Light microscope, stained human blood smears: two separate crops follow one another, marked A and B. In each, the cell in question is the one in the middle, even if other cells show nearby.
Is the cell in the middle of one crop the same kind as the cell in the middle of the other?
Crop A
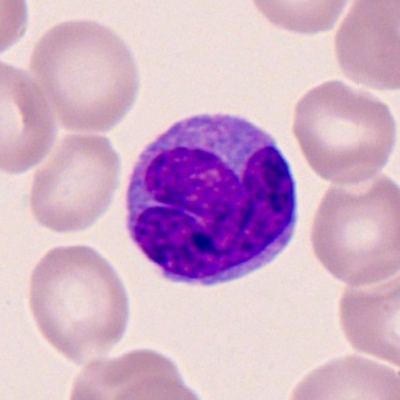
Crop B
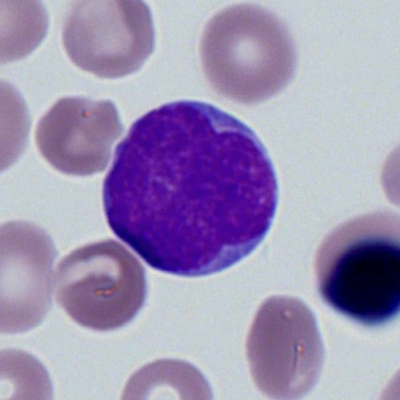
no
